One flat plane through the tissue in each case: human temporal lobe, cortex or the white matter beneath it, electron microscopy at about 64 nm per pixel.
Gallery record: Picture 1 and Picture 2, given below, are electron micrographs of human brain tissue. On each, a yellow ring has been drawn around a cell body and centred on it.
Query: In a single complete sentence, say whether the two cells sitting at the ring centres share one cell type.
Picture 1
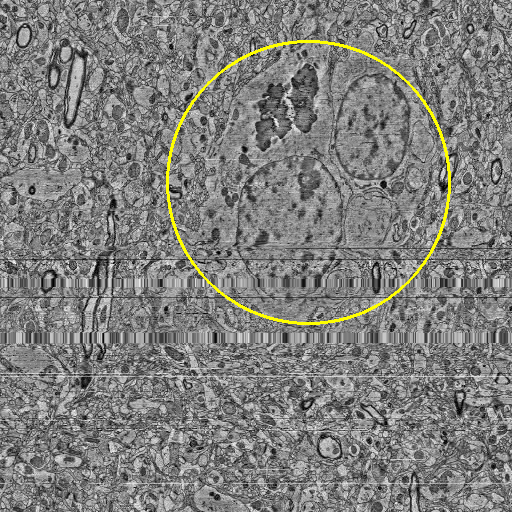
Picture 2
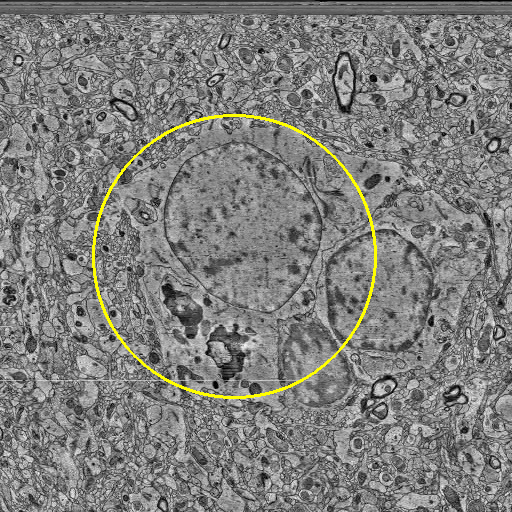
Yes, in both pictures the cell at the ring's centre is of one and the same type.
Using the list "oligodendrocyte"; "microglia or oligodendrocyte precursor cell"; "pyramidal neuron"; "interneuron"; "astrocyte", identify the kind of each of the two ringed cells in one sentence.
Each cell, in the first picture and the second, is an astrocyte.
